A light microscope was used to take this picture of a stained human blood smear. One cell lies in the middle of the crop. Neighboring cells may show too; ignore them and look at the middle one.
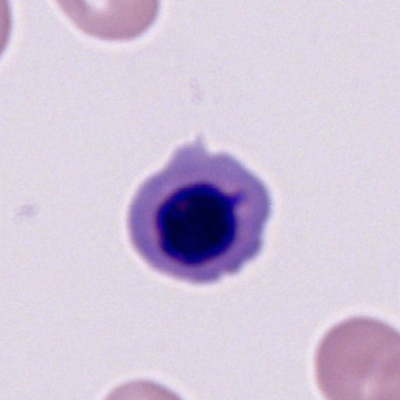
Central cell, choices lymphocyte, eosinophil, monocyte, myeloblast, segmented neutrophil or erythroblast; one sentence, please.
The cell at the middle of the frame should be recorded as an erythroblast.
